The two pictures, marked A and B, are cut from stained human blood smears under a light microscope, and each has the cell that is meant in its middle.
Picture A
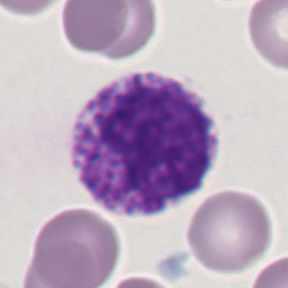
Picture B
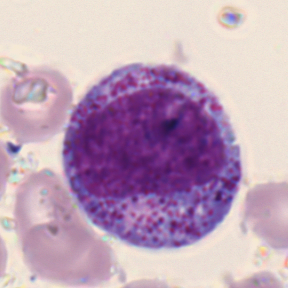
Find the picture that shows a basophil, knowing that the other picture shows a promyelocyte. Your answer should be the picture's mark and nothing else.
A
